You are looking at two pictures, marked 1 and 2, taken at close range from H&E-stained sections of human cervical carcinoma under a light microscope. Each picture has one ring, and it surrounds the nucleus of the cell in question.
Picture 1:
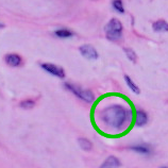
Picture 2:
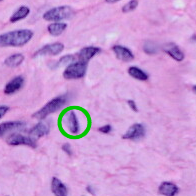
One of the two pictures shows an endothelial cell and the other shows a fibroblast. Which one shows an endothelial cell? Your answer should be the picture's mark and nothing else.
1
